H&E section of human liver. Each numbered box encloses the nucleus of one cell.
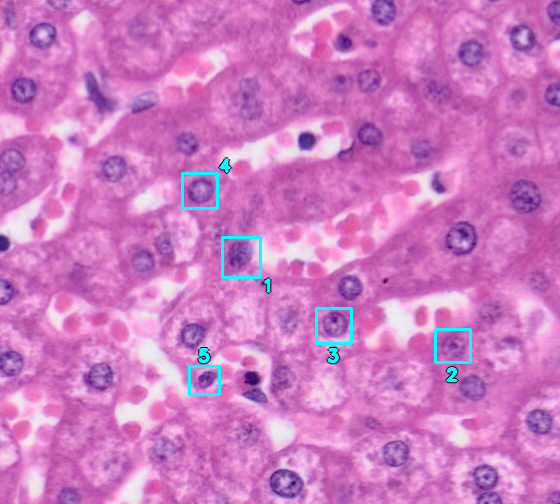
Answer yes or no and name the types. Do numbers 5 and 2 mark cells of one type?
No, just to clarify, cell 5 is a lymphocyte and cell 2 is a hepatocyte.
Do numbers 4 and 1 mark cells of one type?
No, cell 4 is a hepatocyte; as for cell 1, that one is a fibroblast or stellate cell.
